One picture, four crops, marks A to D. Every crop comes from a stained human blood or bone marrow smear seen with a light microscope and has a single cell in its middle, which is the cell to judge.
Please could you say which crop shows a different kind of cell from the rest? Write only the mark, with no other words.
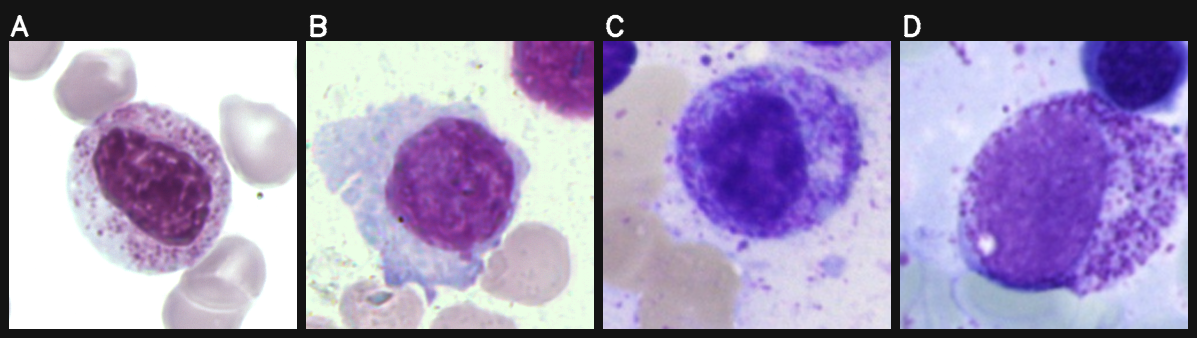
B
